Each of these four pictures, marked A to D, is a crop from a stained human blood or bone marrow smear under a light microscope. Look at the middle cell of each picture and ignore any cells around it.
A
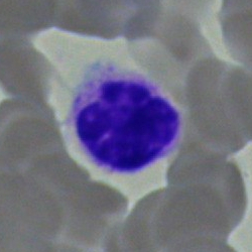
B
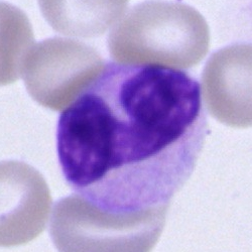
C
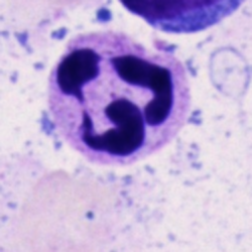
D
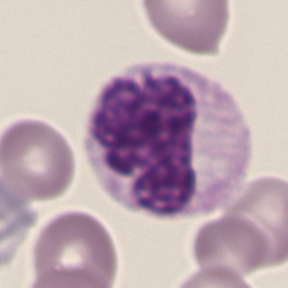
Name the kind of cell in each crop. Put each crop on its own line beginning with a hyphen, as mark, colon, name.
- A: segmented neutrophil
- B: band neutrophil
- C: segmented neutrophil
- D: segmented neutrophil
